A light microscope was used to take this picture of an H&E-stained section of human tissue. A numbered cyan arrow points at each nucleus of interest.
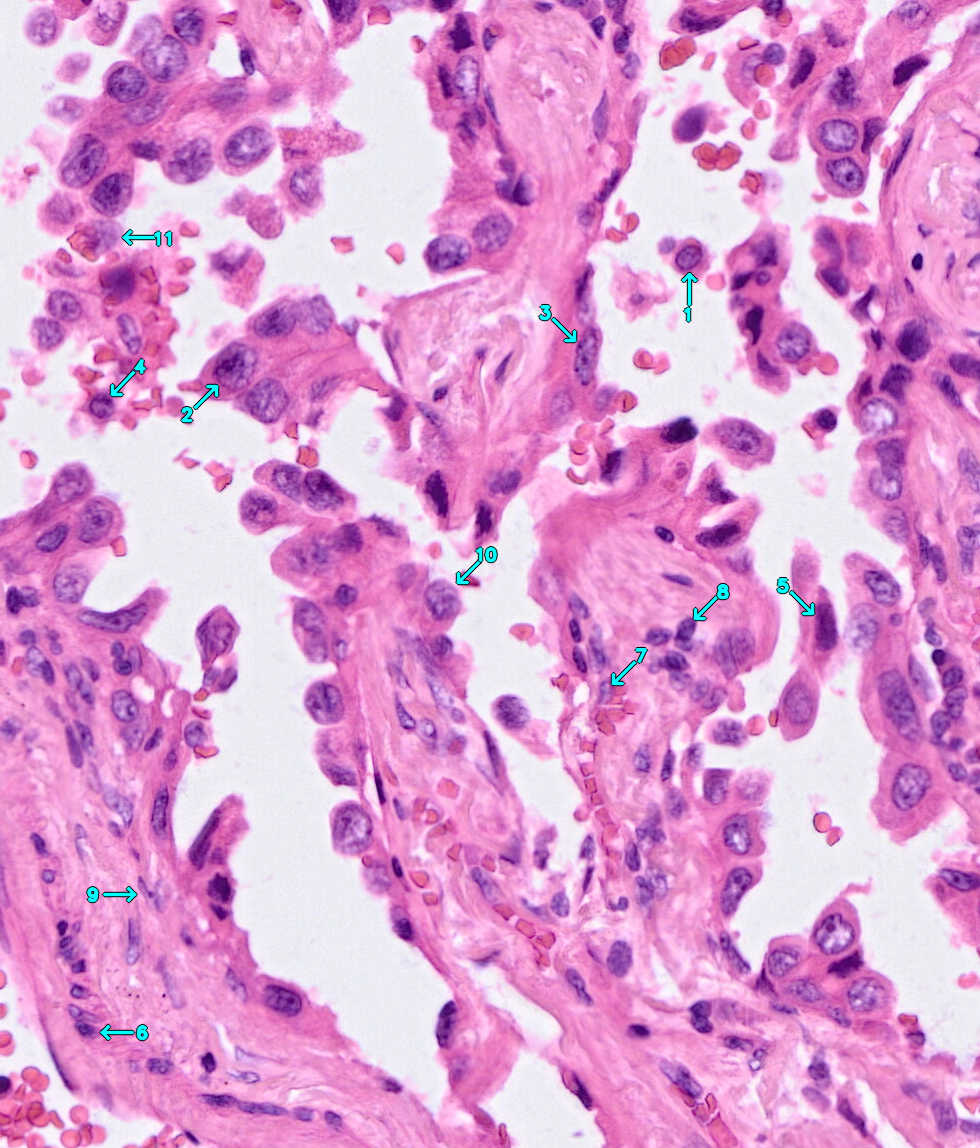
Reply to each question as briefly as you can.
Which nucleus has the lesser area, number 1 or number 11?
1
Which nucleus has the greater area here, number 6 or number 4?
4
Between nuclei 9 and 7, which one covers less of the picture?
7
